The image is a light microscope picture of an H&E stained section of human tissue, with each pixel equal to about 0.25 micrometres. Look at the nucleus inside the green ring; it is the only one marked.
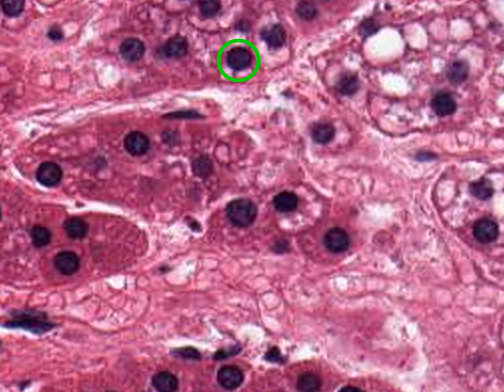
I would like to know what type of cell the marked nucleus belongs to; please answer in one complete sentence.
What is marked is the nucleus of an adrenal cortical cell.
